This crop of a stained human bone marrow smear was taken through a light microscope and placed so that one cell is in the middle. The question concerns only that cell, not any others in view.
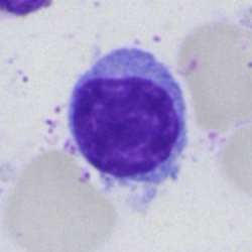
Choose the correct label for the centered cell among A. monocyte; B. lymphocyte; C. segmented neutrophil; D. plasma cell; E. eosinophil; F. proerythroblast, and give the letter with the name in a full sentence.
That cell in the center is a lymphocyte, hence option B.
